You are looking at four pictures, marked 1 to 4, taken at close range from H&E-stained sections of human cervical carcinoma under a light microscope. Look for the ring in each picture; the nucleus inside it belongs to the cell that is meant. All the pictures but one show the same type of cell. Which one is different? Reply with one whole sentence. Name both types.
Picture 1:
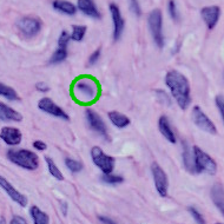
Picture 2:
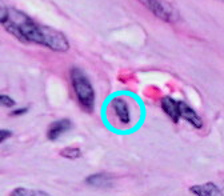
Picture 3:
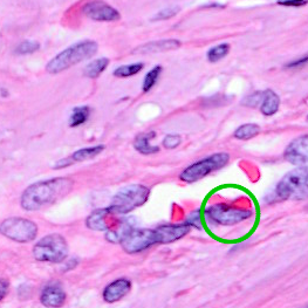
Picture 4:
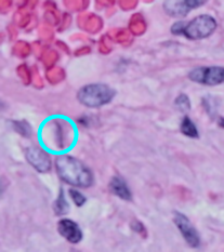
Unlike the rest, which show endothelial cells, picture 1 shows a fibroblast.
